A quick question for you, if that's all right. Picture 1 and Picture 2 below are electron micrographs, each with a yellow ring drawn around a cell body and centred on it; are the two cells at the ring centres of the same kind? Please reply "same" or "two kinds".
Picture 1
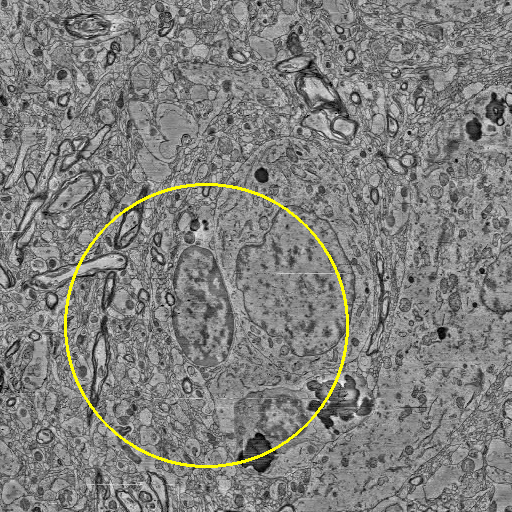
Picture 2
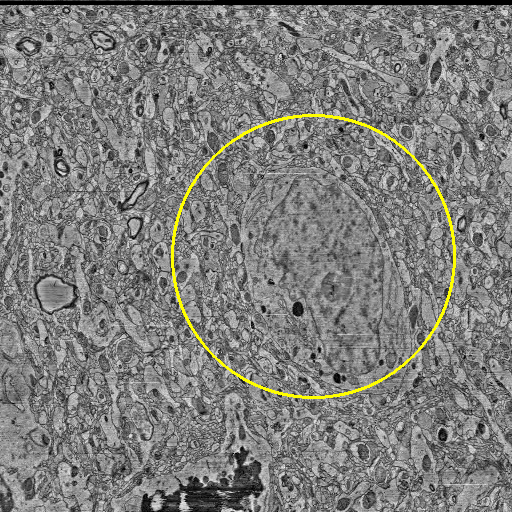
two kinds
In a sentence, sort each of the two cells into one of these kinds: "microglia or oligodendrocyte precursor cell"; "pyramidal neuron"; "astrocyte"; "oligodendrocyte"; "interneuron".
The first of the two cells is a microglial cell or oligodendrocyte precursor cell, and the second is an interneuron.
